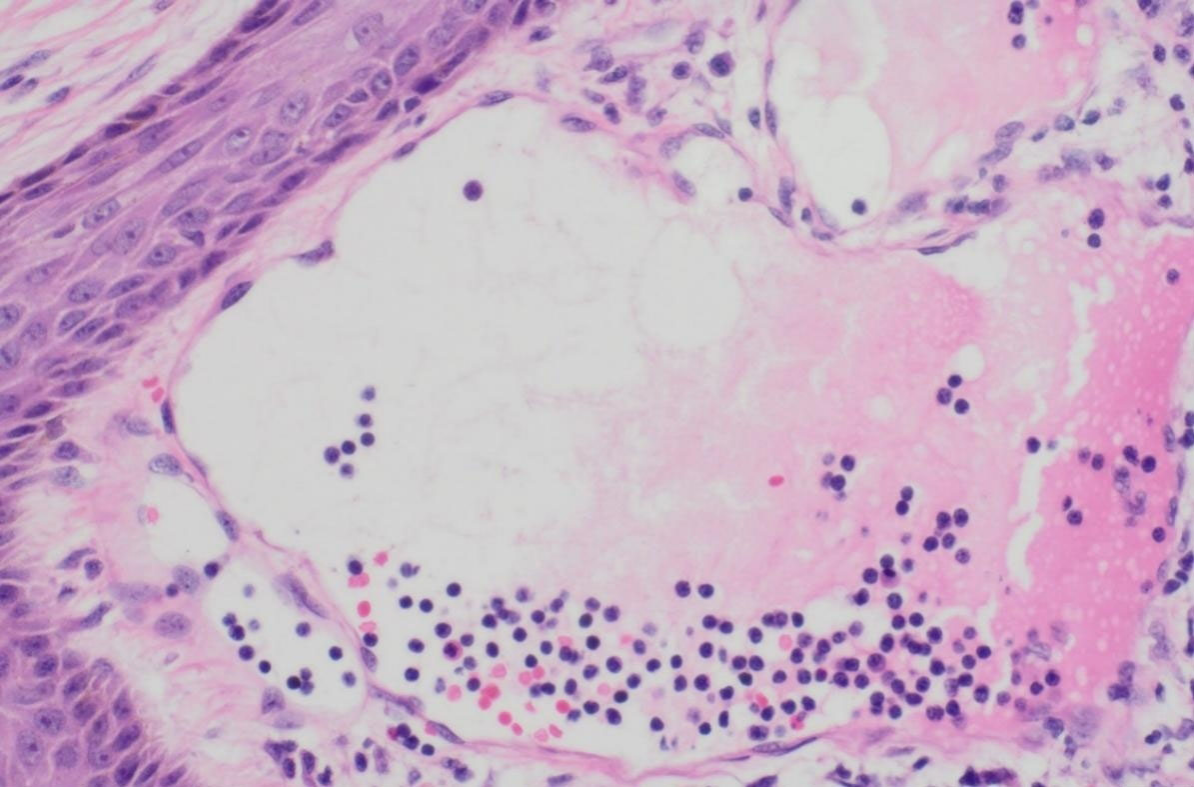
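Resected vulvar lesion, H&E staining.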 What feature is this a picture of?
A: dilated lymphatic vessels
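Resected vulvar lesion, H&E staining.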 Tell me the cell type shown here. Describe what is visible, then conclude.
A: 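Many small round cells with dark, dense, round nuclei lie free in the lumen. The cells have scant cytoplasm. They gather mostly along the lower part of the lumen. On this evidence: lymphocytes.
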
